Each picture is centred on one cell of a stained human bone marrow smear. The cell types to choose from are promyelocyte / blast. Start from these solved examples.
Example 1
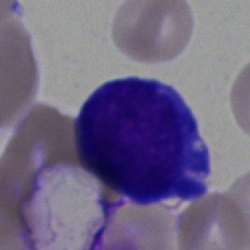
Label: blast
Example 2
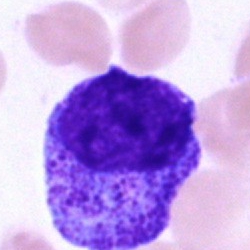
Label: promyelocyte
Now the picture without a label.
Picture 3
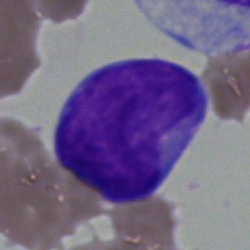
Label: blast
